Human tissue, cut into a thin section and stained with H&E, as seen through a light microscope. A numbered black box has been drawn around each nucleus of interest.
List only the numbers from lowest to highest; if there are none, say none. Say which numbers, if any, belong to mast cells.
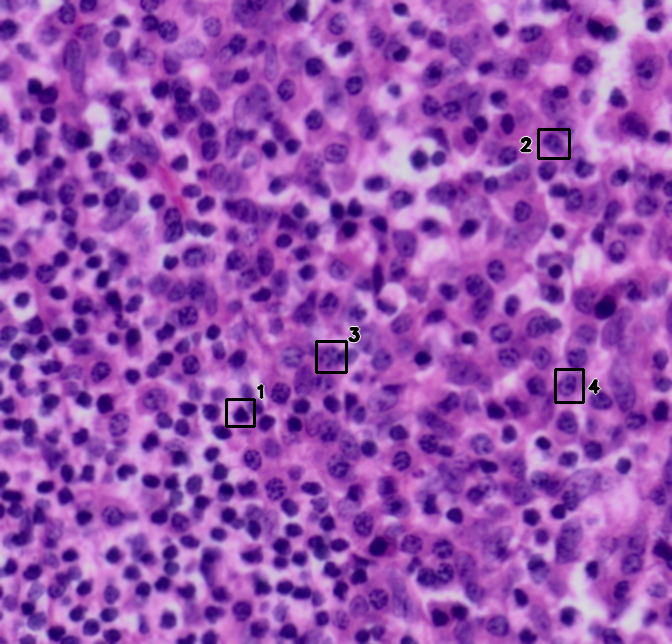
none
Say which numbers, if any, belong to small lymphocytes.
1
